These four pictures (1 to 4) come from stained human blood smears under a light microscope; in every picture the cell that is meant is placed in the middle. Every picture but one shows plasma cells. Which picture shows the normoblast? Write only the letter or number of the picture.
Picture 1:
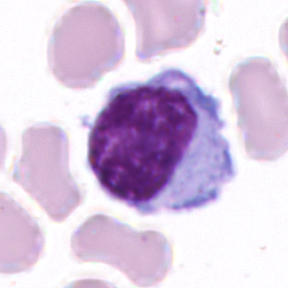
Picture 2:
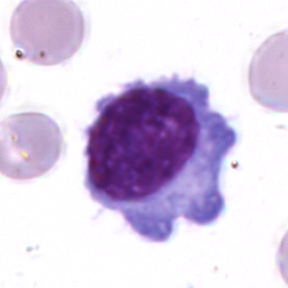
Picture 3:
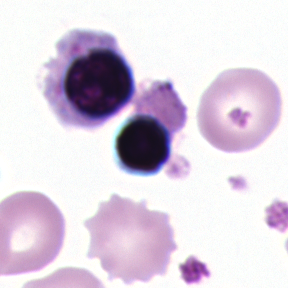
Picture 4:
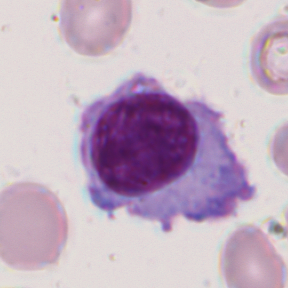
3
